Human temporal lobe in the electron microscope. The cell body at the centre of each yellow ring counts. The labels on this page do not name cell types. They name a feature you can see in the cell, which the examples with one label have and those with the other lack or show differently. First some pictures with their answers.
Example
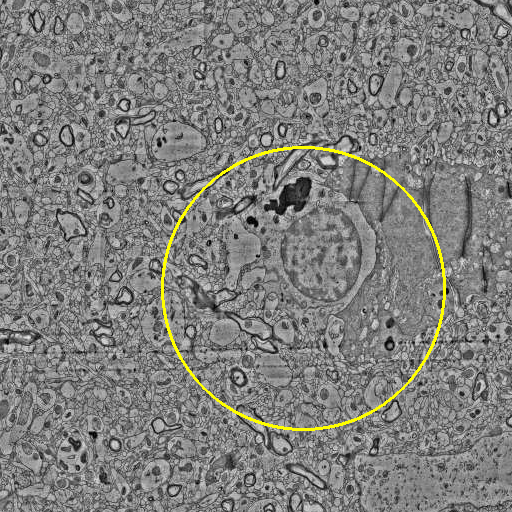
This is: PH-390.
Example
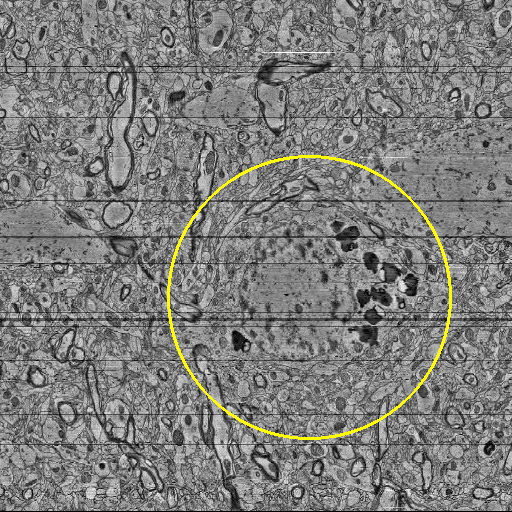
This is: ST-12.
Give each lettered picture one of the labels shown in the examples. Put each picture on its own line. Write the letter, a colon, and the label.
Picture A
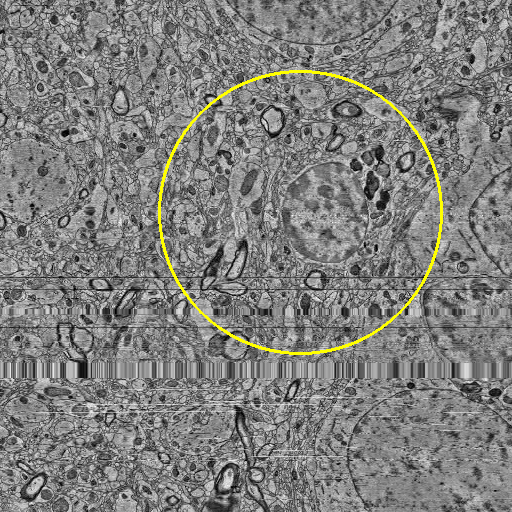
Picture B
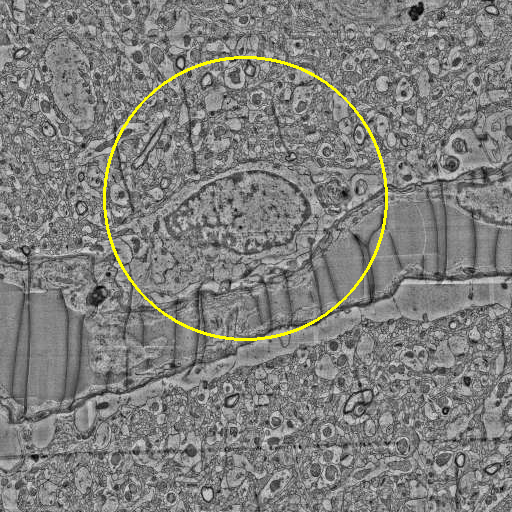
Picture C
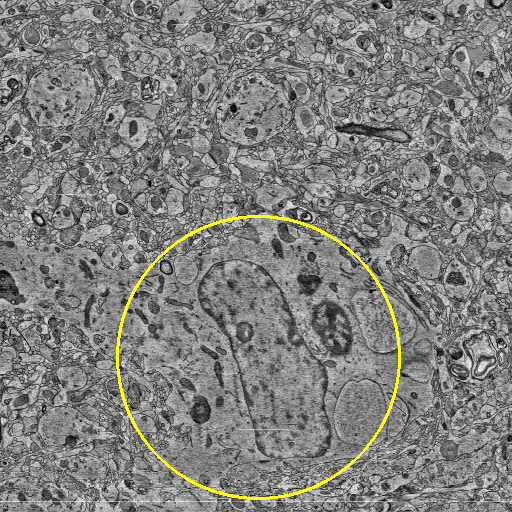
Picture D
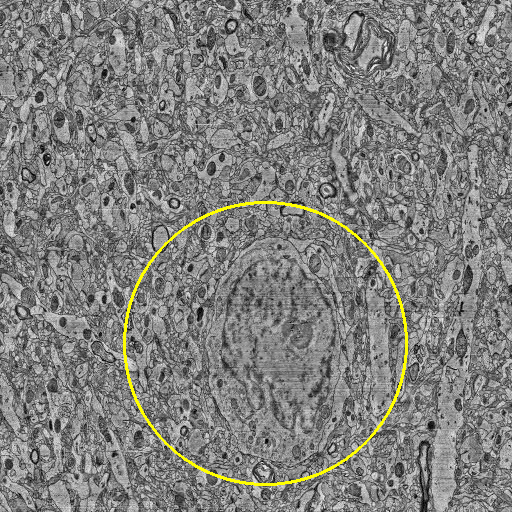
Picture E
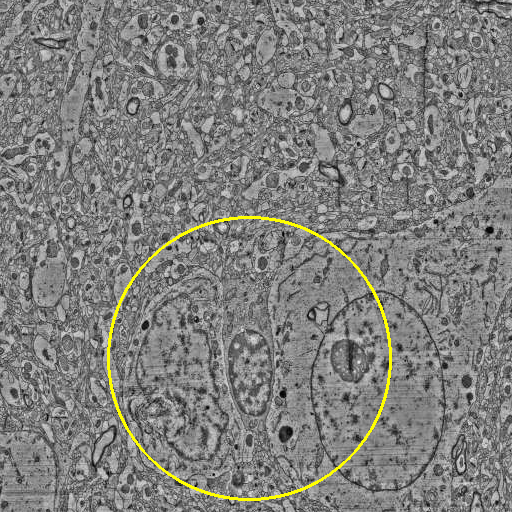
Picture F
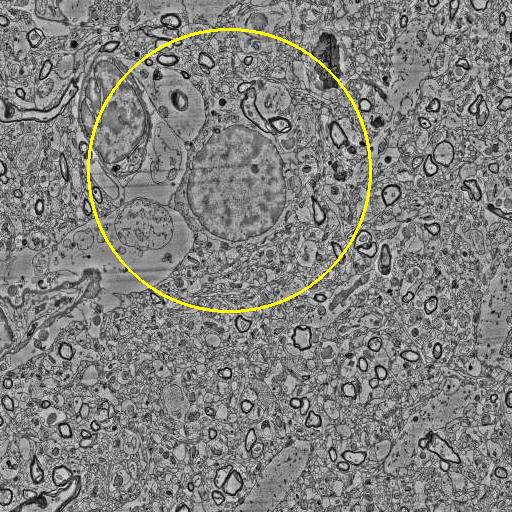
A: PH-390.
B: ST-12.
C: ST-12.
D: ST-12.
E: ST-12.
F: PH-390.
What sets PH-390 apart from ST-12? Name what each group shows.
In PH-390: round or nearly round nuclei. In ST-12: clearly elongated nuclei.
